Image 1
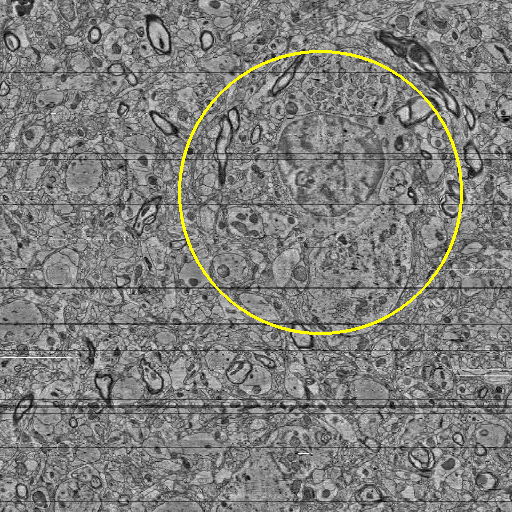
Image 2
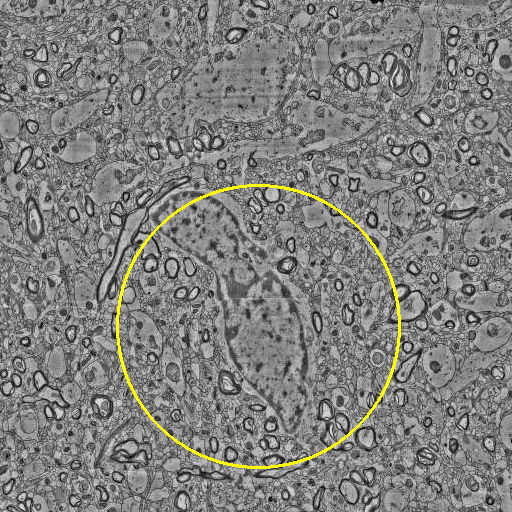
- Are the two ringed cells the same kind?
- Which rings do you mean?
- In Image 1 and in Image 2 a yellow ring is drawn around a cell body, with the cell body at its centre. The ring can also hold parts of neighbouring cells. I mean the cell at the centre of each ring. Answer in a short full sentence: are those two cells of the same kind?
No, the cells are of two kinds.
